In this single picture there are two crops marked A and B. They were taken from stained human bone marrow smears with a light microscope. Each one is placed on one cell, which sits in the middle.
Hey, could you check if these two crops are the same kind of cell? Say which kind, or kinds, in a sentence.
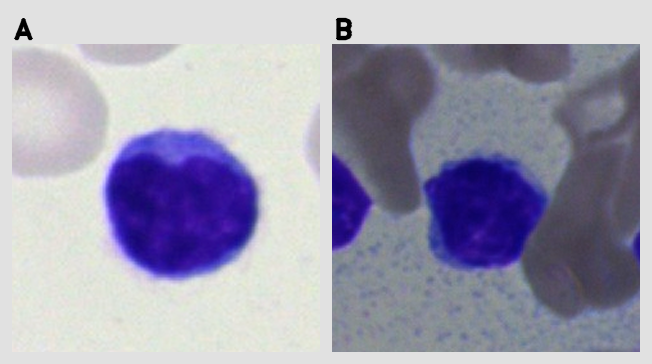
Yes, as shown in both crops, the central cells are lymphocytes.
